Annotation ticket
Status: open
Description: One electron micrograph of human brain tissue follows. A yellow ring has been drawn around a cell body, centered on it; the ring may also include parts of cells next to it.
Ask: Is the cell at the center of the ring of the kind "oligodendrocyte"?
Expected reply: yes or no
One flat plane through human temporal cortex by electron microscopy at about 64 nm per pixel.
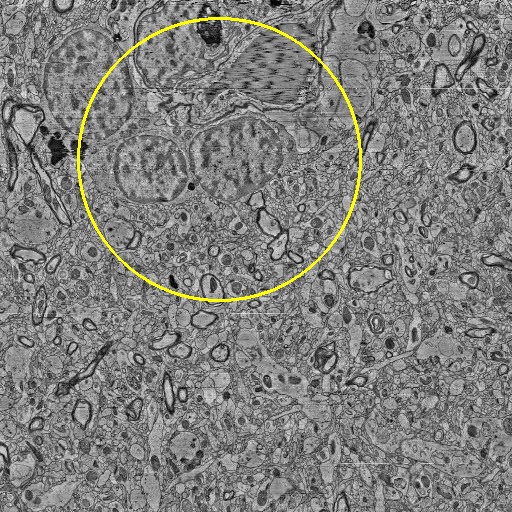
yes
